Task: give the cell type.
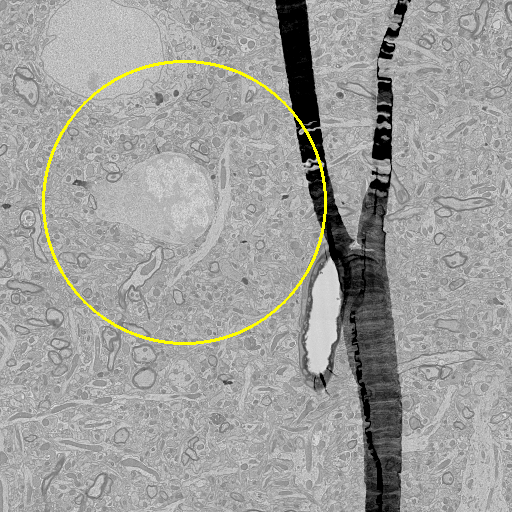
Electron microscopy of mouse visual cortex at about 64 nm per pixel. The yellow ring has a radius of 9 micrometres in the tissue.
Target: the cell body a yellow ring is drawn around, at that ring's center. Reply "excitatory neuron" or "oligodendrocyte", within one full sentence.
In this picture, the cell whose body lies at the ring's center is an oligodendrocyte.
